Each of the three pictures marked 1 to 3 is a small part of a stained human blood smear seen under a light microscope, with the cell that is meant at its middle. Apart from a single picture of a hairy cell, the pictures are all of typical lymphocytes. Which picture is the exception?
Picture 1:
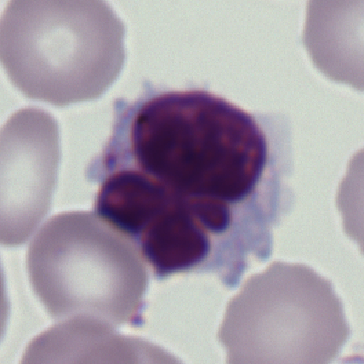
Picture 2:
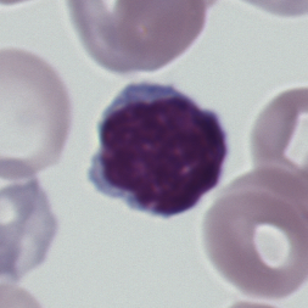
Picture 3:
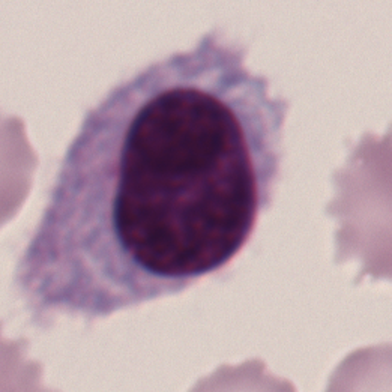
3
